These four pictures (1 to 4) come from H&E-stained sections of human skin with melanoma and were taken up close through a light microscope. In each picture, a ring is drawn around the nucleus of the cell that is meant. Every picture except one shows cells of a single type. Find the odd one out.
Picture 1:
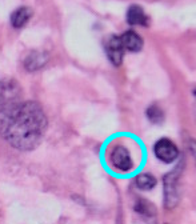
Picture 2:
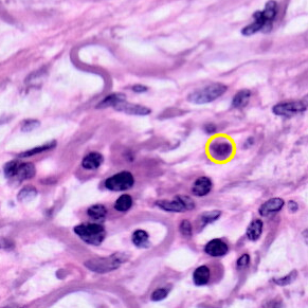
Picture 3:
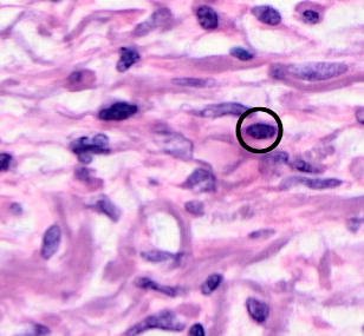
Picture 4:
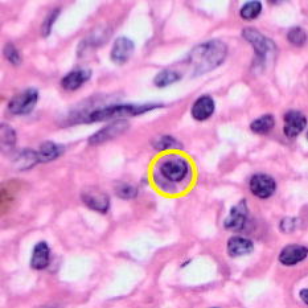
1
